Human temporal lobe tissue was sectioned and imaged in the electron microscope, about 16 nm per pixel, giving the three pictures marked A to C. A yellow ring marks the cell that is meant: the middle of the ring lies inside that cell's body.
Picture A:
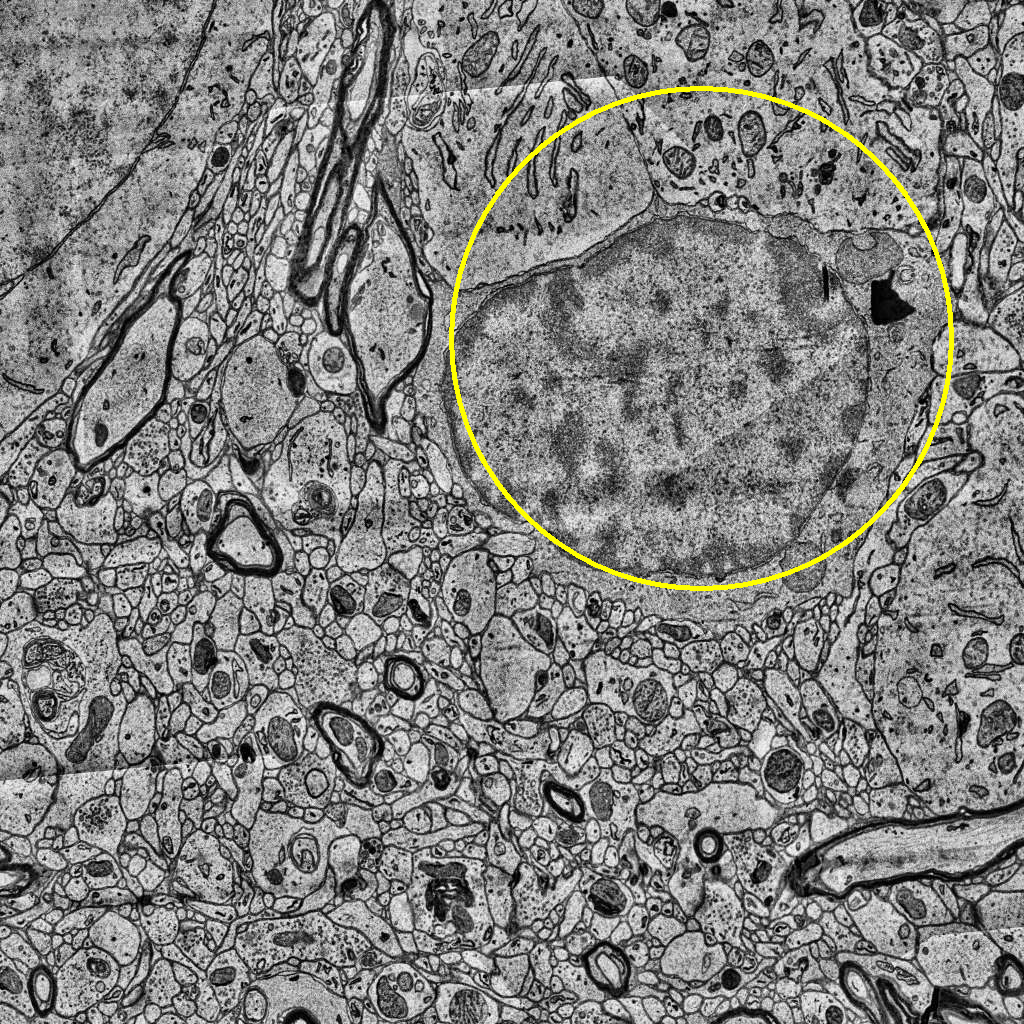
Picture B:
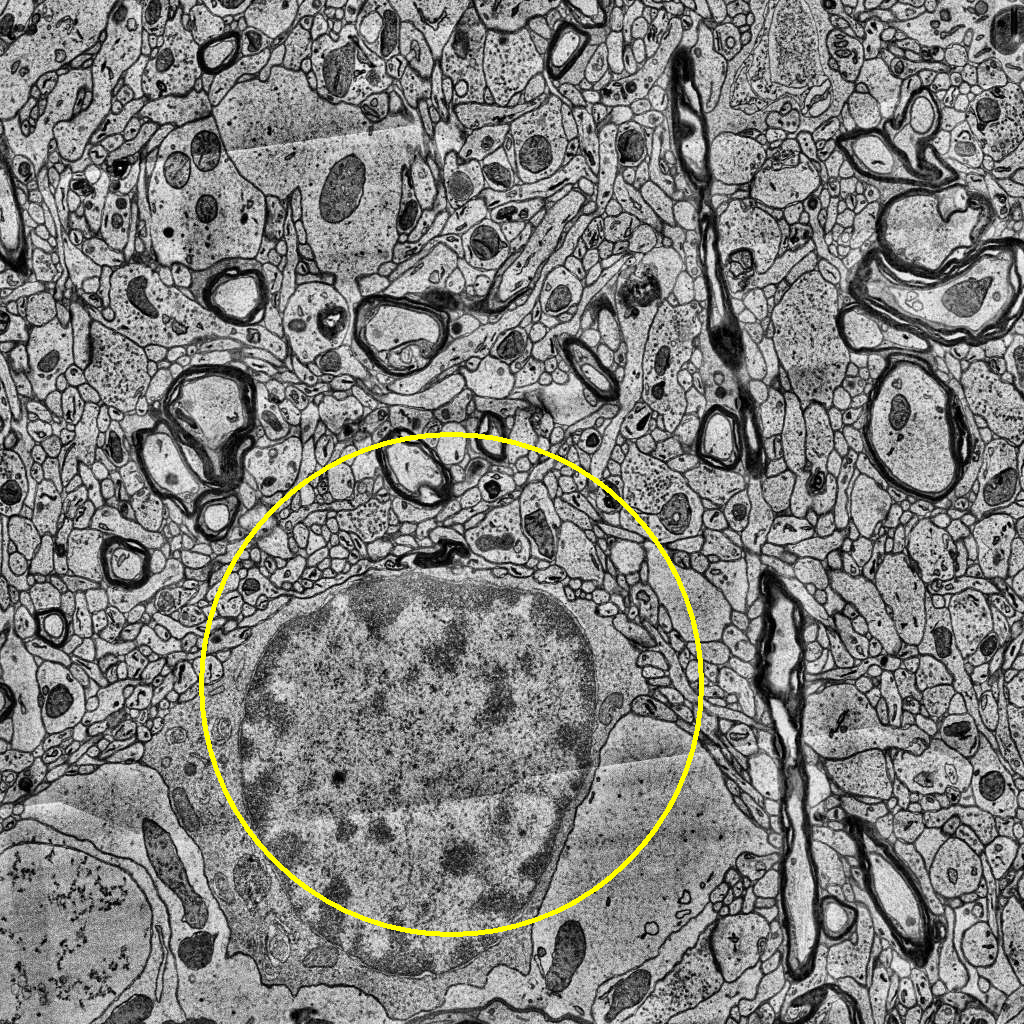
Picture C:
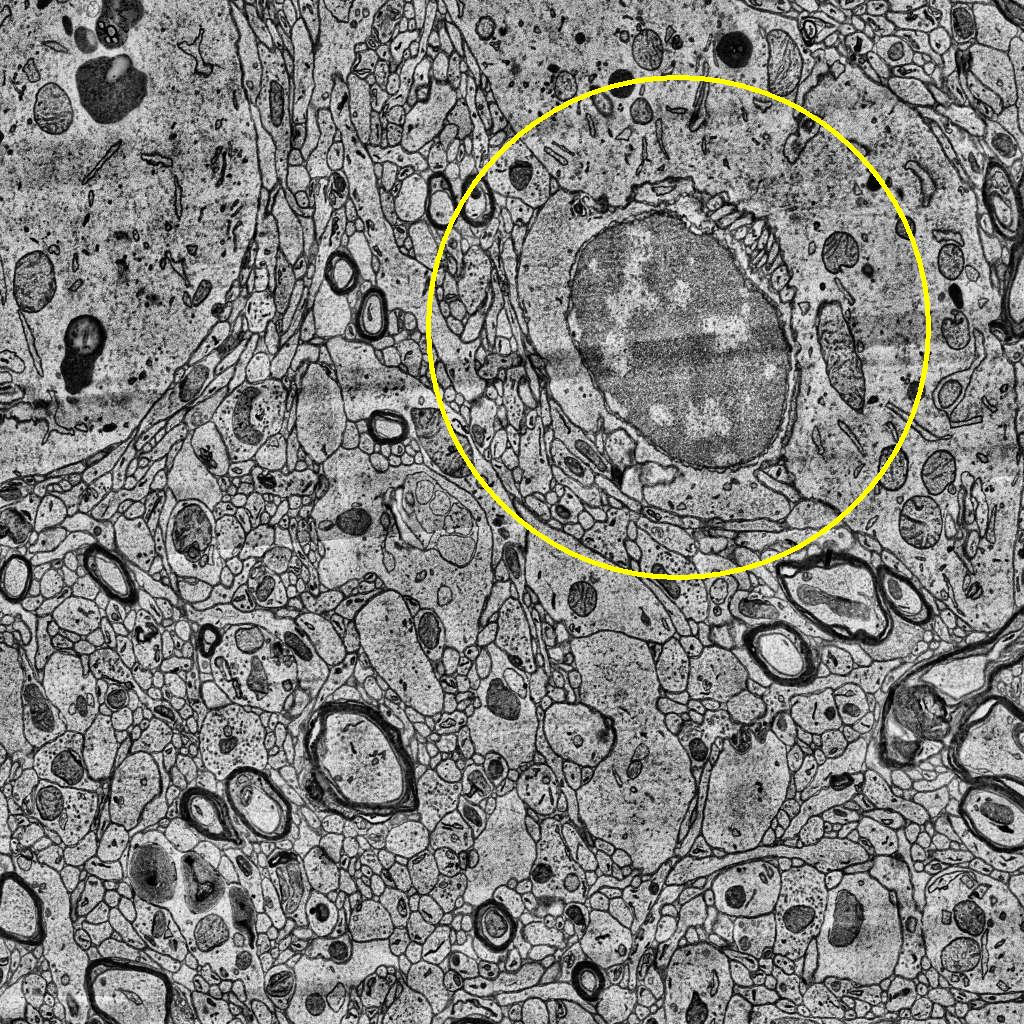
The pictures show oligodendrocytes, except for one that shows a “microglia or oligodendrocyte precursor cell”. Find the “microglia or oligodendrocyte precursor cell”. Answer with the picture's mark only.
C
